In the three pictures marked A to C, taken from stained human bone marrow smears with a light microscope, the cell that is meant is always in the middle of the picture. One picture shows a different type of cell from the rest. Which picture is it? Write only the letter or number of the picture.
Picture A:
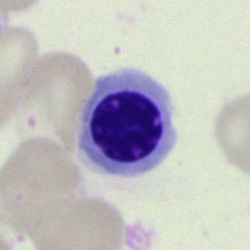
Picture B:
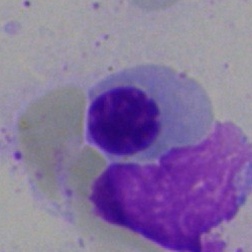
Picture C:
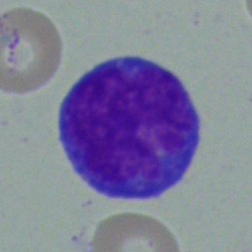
C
